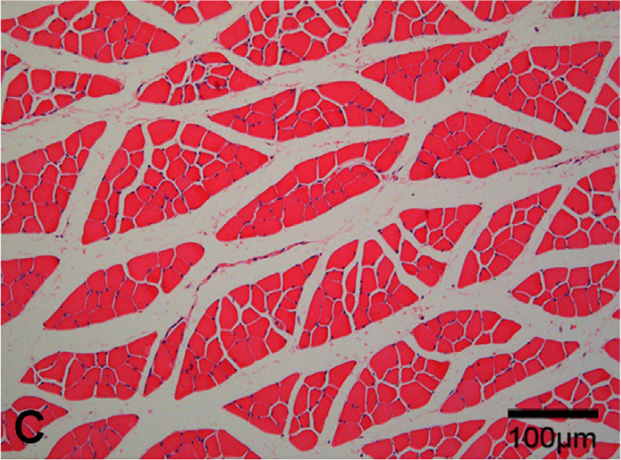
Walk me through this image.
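This is a transverse section of skeletal muscle, with muscle fibers seen as red polygonal profiles of varying size. The fibers are grouped into fascicles separated by wide pale septa, some of which contain faint pink fibrous strands and scattered dark nuclei. Some fibers are small and others larger. Small purple nuclei lie at the periphery of the fibers.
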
